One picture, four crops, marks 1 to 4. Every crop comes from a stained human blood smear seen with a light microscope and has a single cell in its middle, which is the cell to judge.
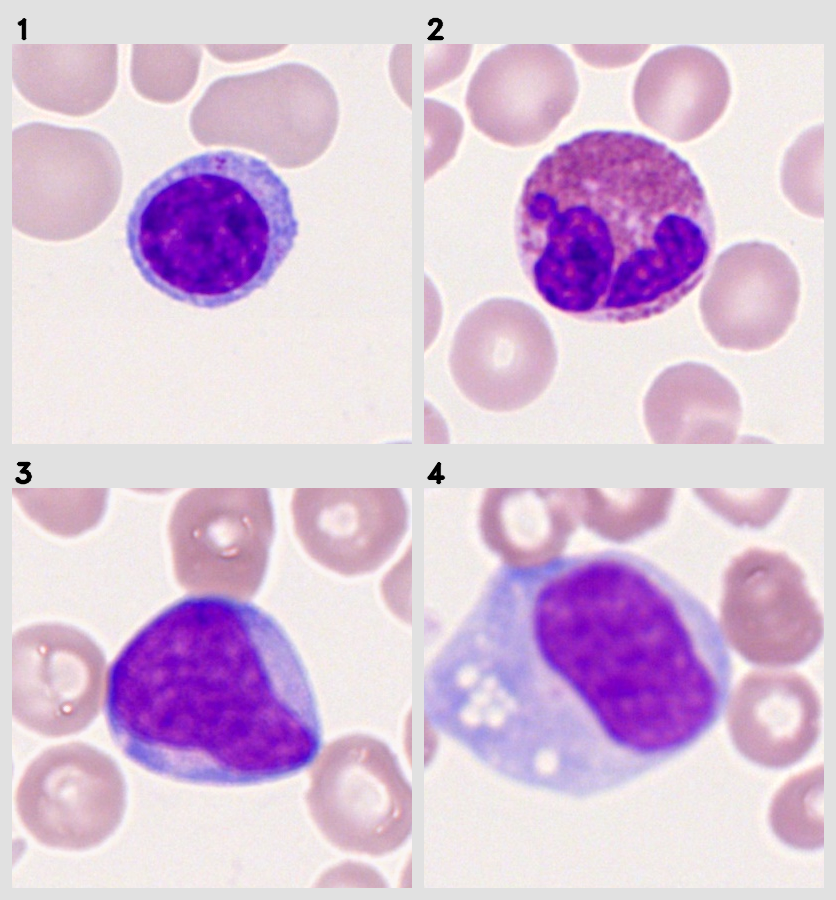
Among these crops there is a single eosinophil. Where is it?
2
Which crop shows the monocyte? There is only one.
4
